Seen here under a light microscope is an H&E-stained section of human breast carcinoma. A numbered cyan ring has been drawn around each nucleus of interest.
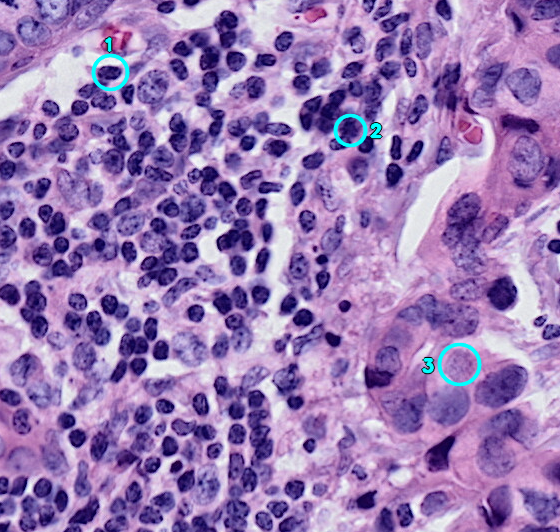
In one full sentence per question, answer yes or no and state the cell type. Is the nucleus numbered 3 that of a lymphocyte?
No, it is not a lymphocyte that bears number 3 but a carcinoma cell.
